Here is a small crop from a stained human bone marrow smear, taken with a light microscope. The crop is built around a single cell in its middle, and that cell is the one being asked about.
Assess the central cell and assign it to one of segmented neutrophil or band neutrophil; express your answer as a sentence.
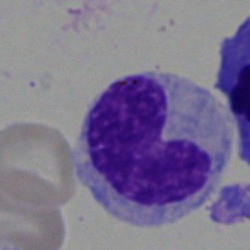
The cell marked by its central position in the crop is a band neutrophil.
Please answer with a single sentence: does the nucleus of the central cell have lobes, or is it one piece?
Round, oval or kidney-shaped, the nucleus is one compact mass.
